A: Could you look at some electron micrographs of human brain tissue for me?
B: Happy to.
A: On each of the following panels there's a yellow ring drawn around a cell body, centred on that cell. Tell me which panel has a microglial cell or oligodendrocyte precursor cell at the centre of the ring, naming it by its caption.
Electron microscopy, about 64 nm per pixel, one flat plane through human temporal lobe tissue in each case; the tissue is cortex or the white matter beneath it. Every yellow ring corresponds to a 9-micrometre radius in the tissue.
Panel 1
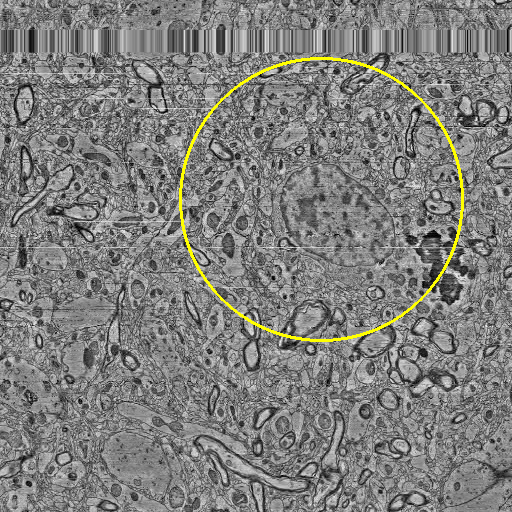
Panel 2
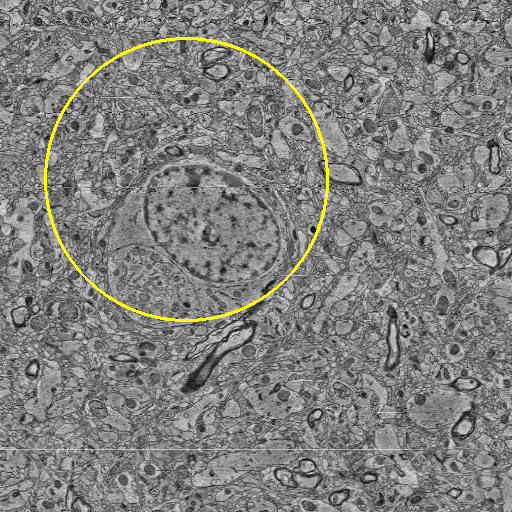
Panel 2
